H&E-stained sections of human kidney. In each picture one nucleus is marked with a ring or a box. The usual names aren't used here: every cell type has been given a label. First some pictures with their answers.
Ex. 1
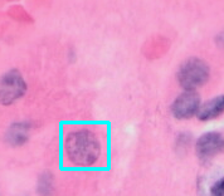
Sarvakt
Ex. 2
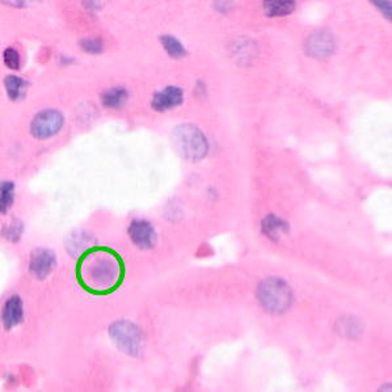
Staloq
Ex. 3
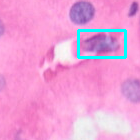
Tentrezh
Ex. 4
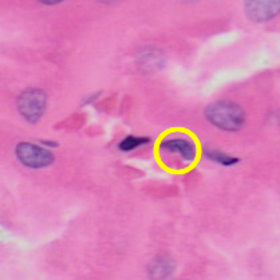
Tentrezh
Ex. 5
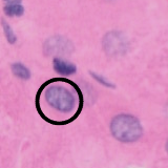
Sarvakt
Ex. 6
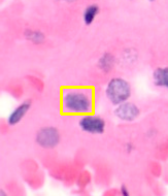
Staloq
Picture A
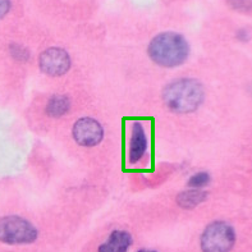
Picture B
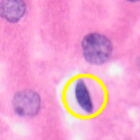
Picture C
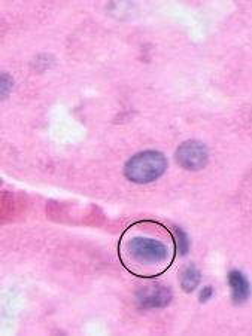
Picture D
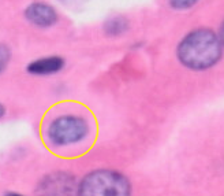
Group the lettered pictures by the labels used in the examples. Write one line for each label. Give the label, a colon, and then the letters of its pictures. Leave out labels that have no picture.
Staloq: D
Tentrezh: A, B, C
